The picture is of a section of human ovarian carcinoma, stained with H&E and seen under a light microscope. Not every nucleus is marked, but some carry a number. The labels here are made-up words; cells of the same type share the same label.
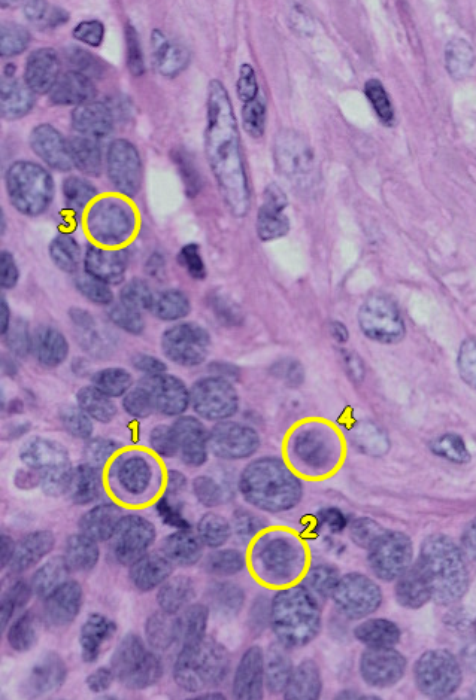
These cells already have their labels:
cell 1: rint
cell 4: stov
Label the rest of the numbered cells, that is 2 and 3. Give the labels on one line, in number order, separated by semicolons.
rint; rint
